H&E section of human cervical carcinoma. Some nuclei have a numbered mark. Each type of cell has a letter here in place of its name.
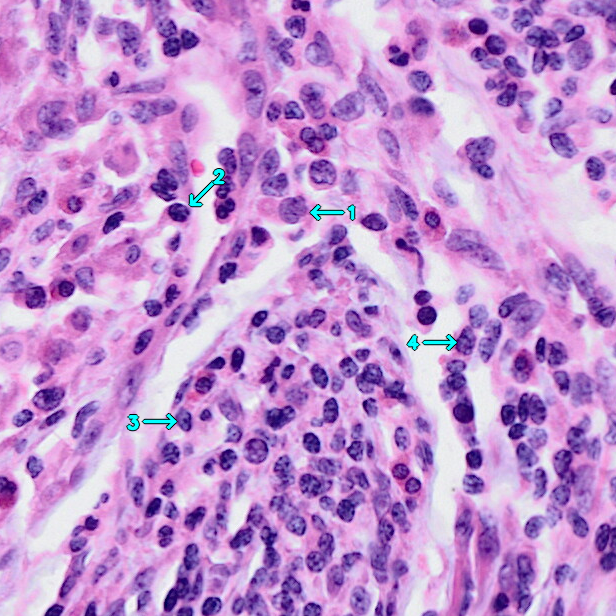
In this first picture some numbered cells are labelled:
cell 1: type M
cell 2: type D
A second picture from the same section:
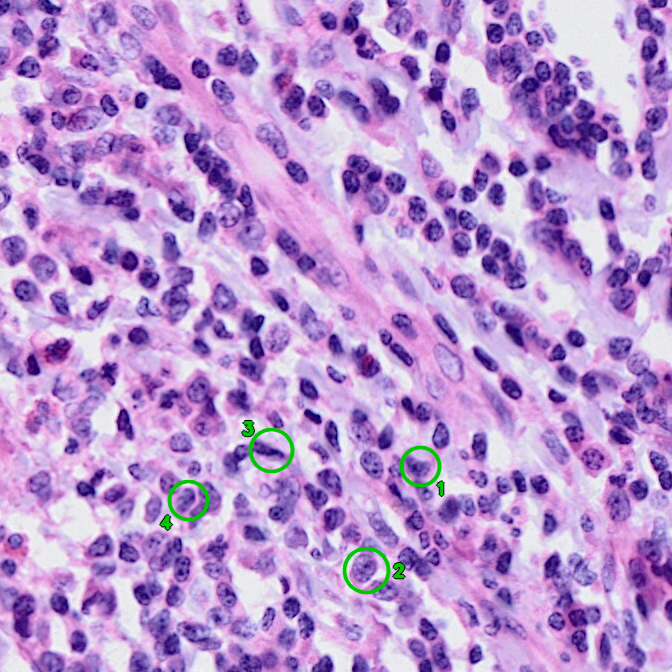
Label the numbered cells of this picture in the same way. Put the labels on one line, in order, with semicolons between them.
type D; type M; type D; type D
